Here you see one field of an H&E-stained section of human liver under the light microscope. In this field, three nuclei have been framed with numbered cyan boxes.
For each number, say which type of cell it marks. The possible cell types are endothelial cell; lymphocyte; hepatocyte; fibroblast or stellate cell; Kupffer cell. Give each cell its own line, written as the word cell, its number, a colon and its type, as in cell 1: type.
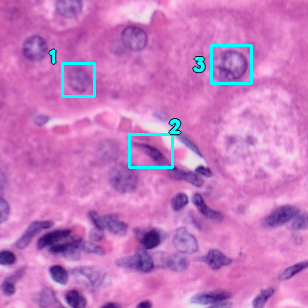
cell 1: hepatocyte
cell 2: fibroblast or stellate cell
cell 3: hepatocyte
